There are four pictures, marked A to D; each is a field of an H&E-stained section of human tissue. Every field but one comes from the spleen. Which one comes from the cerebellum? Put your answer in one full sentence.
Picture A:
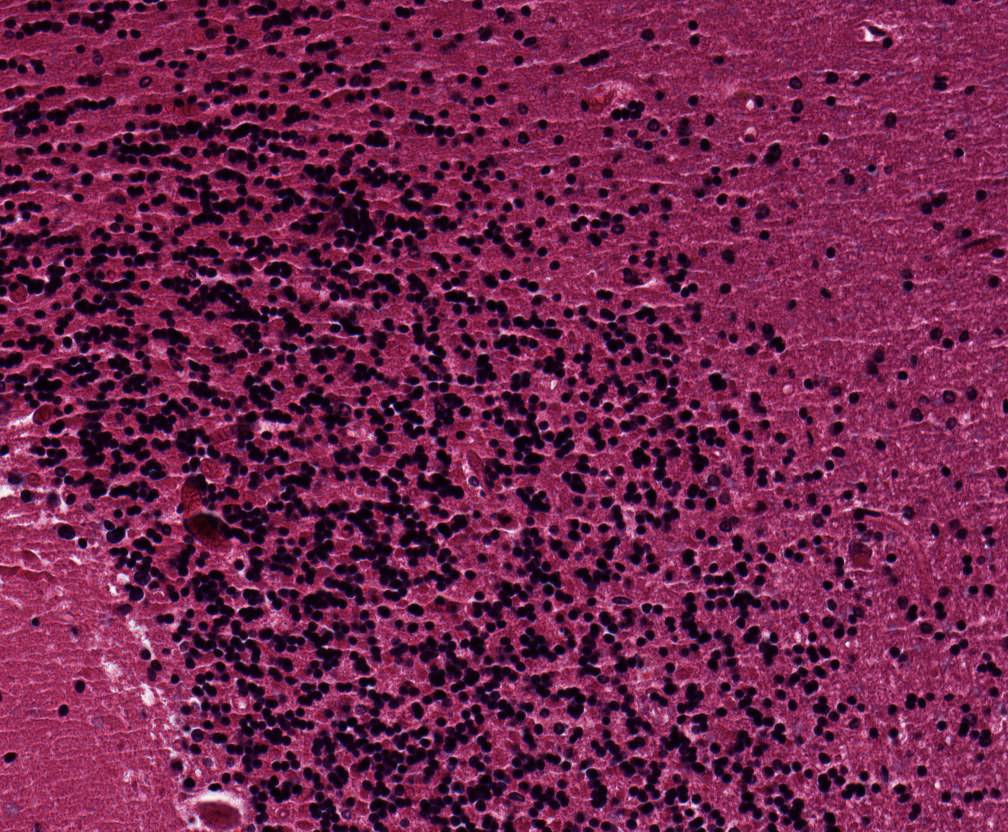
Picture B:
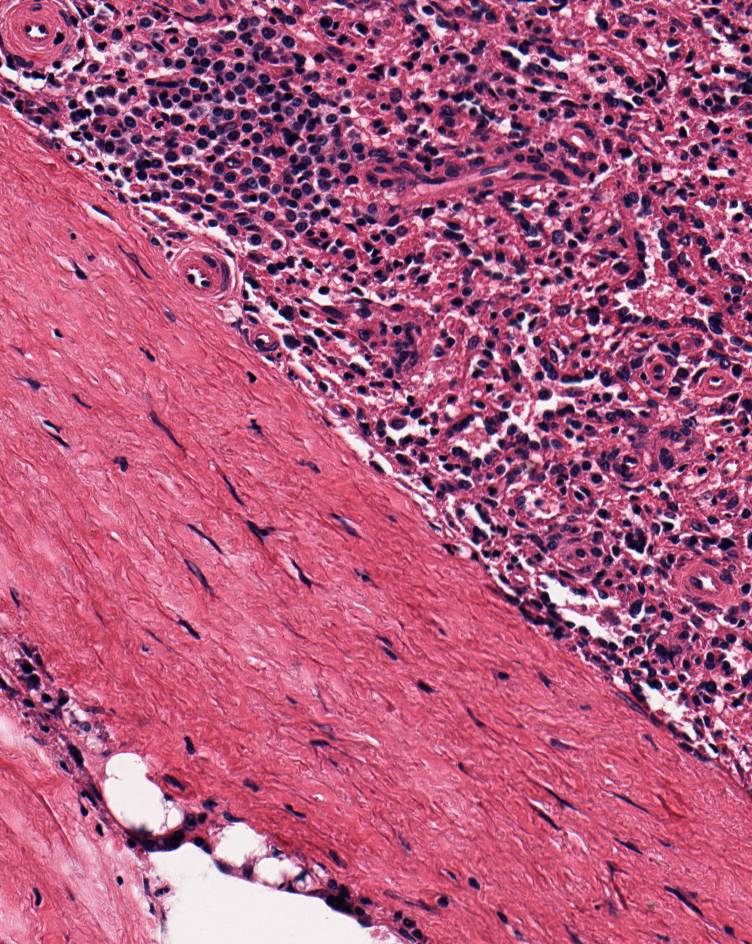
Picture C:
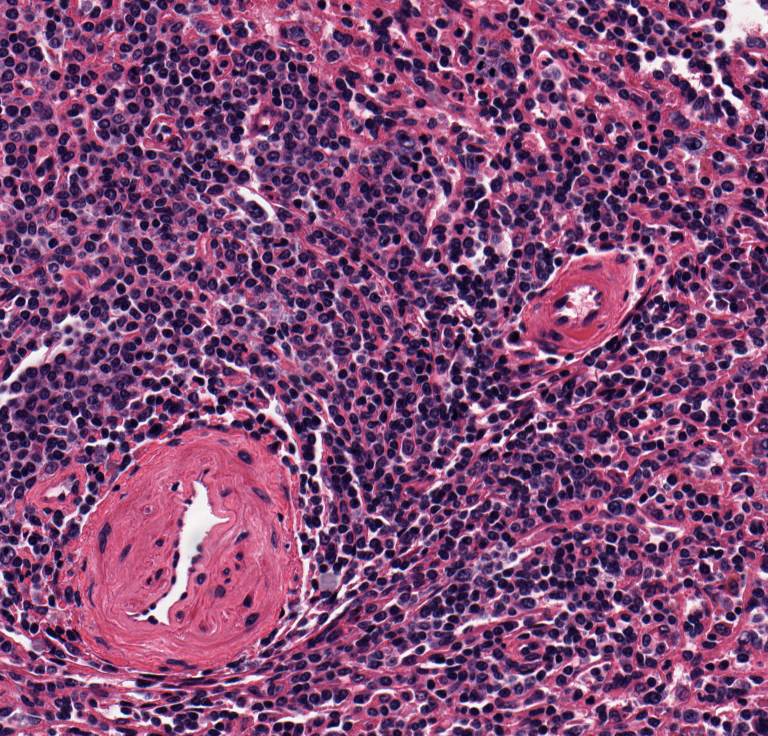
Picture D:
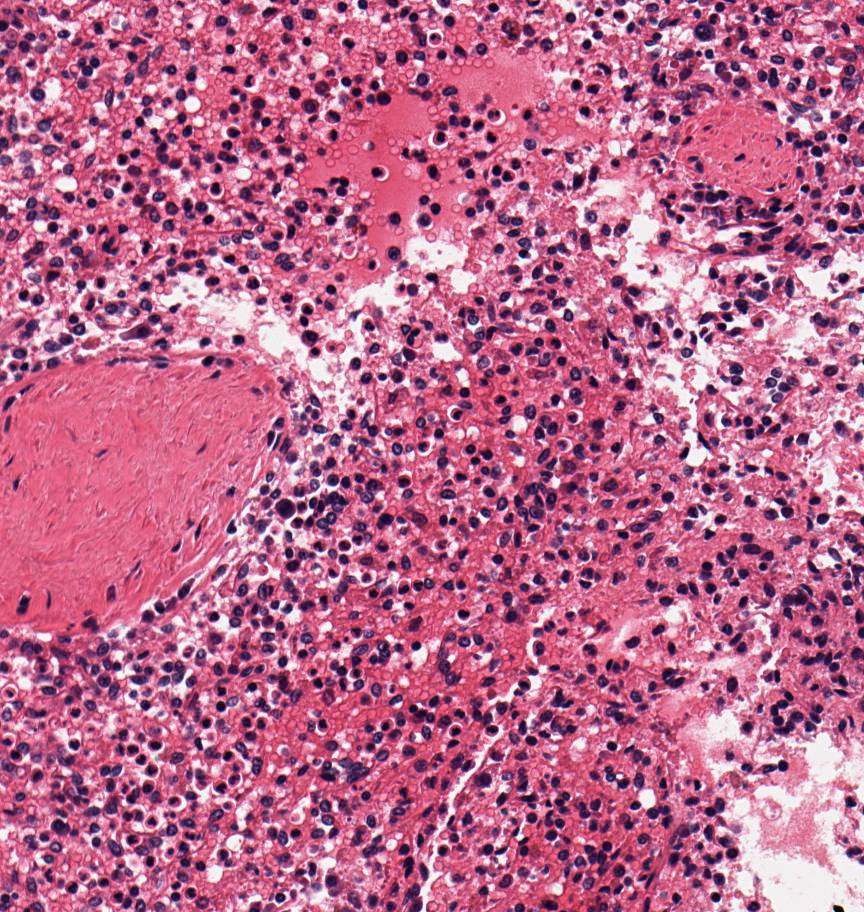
It is picture A that comes from the cerebellum.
